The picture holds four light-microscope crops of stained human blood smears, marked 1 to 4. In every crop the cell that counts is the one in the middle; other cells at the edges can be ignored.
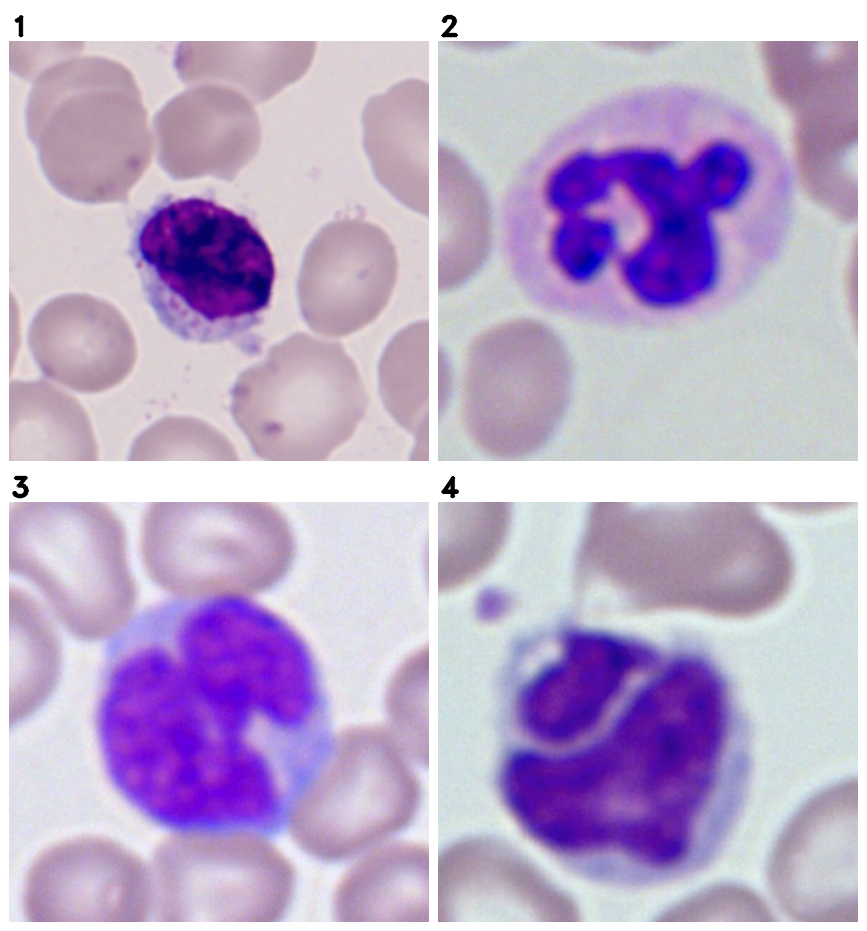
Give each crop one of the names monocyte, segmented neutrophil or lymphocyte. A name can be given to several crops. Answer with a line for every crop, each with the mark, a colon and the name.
1: lymphocyte
2: segmented neutrophil
3: monocyte
4: monocyte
